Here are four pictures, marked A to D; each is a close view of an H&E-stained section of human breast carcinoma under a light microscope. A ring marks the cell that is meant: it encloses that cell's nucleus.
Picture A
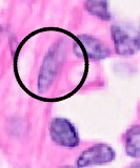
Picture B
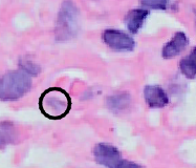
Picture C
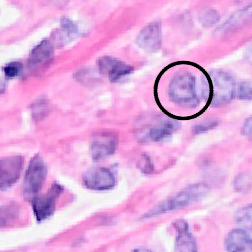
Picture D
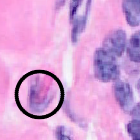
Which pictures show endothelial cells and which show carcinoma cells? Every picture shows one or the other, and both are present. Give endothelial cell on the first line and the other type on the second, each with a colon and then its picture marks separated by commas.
endothelial cell: A, B, D
carcinoma cell: C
